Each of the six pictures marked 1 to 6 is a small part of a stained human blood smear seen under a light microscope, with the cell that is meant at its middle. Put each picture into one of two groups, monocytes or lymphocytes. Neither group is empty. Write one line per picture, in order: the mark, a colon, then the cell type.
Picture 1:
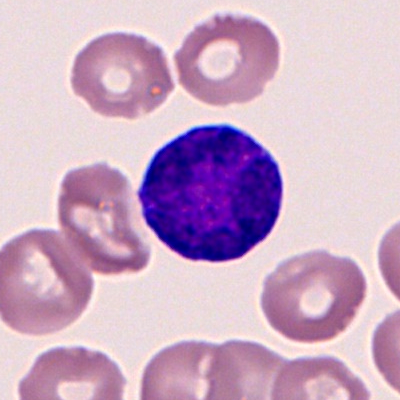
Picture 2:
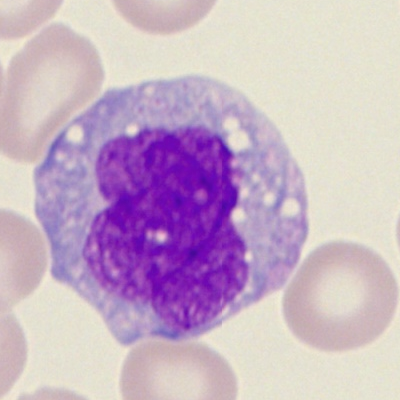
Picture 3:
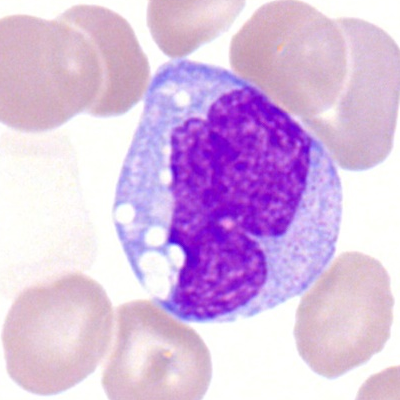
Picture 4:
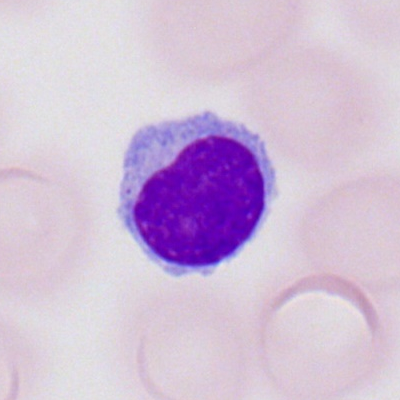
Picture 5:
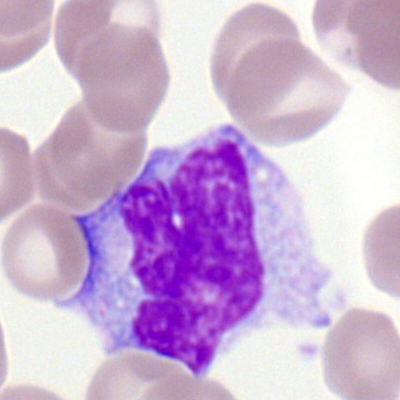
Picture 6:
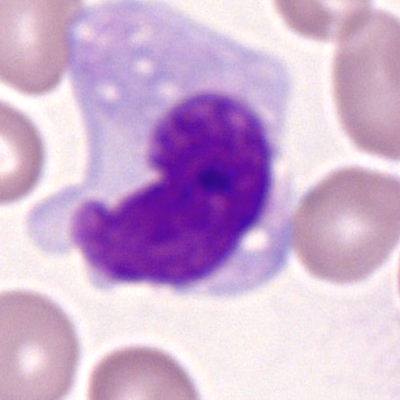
1: lymphocyte
2: monocyte
3: monocyte
4: lymphocyte
5: monocyte
6: monocyte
